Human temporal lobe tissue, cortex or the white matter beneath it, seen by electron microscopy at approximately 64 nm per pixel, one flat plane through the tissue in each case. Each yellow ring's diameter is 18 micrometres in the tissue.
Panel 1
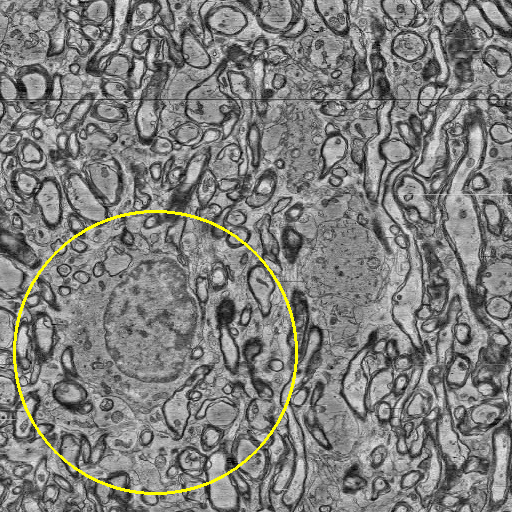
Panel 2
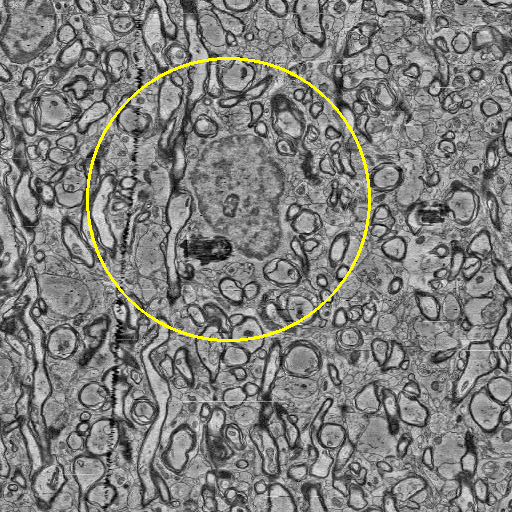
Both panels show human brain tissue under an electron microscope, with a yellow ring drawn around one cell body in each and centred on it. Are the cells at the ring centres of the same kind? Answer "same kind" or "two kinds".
same kind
